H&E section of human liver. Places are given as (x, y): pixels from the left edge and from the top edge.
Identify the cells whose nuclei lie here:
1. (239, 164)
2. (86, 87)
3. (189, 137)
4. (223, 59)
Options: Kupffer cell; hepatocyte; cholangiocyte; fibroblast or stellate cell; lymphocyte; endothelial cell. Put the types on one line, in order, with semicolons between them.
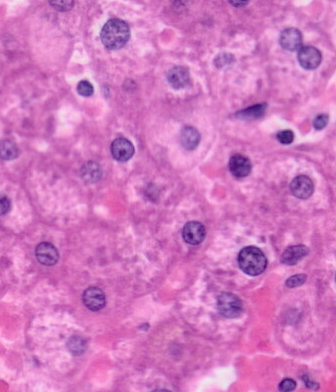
hepatocyte; lymphocyte; hepatocyte; hepatocyte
